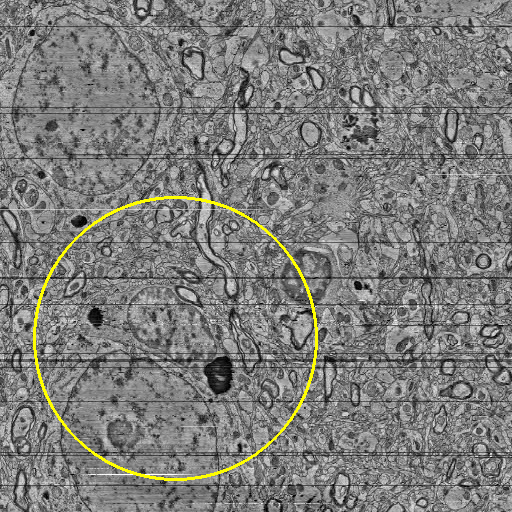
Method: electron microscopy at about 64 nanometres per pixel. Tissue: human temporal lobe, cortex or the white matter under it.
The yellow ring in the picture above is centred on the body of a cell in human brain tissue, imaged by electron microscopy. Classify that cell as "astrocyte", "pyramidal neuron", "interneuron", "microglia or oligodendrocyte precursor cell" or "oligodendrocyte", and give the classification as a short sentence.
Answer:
The cell in the middle of the ring is an oligodendrocyte.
